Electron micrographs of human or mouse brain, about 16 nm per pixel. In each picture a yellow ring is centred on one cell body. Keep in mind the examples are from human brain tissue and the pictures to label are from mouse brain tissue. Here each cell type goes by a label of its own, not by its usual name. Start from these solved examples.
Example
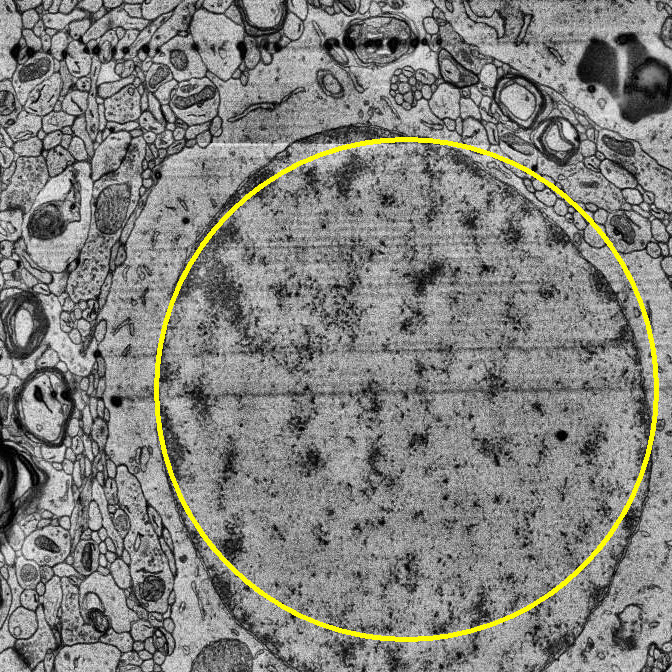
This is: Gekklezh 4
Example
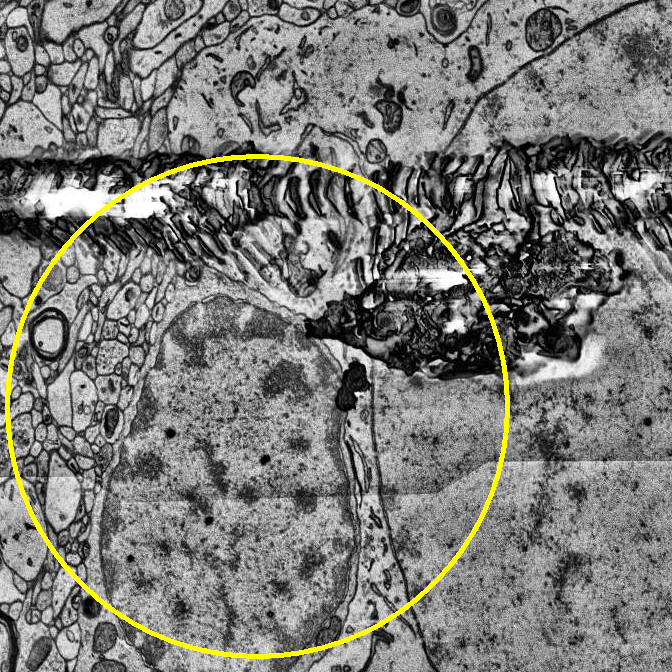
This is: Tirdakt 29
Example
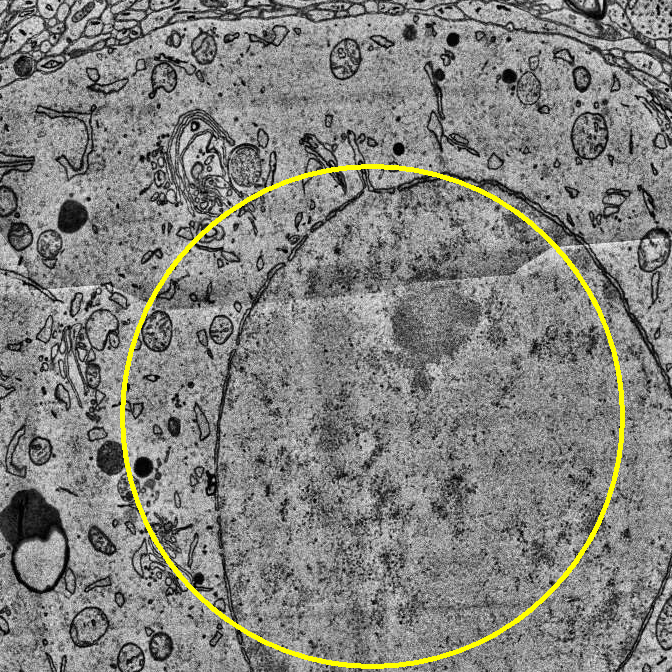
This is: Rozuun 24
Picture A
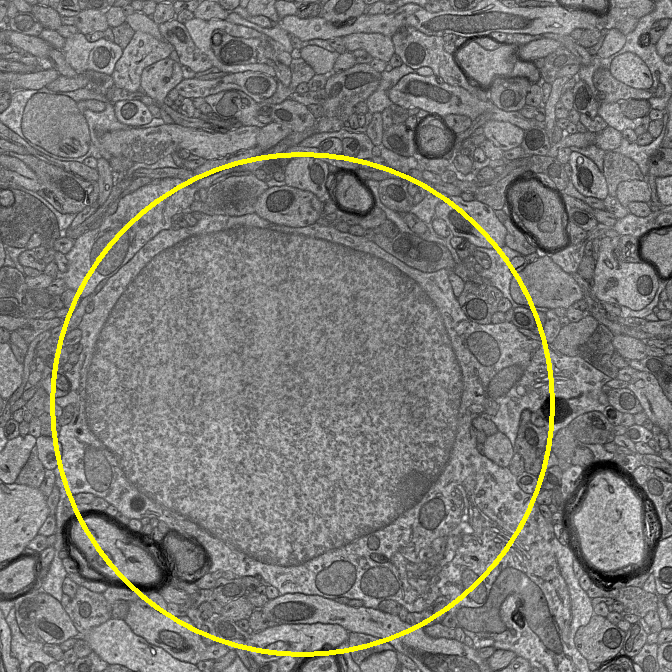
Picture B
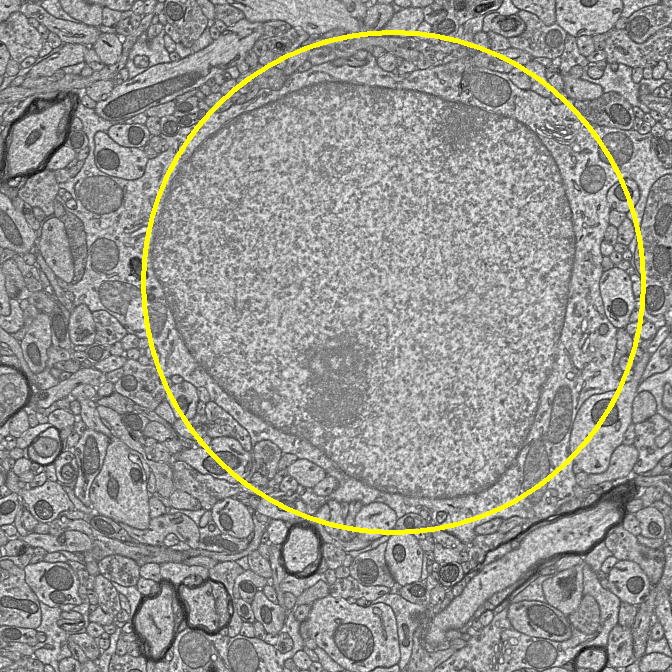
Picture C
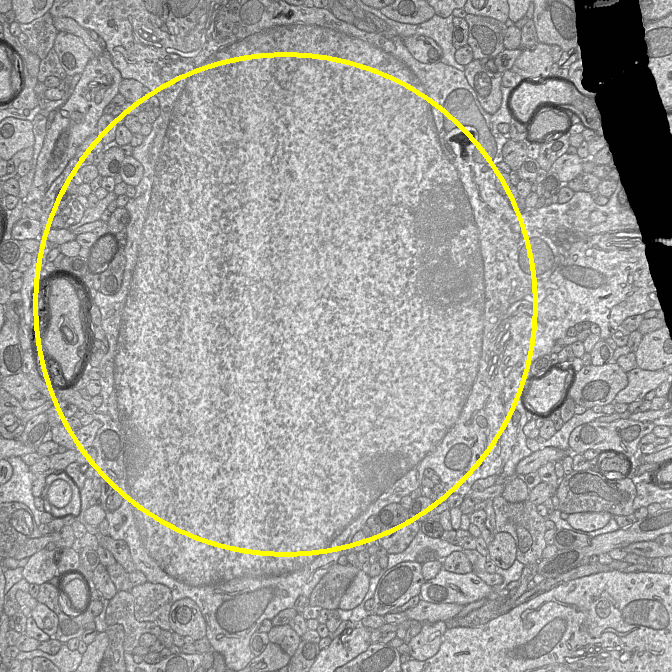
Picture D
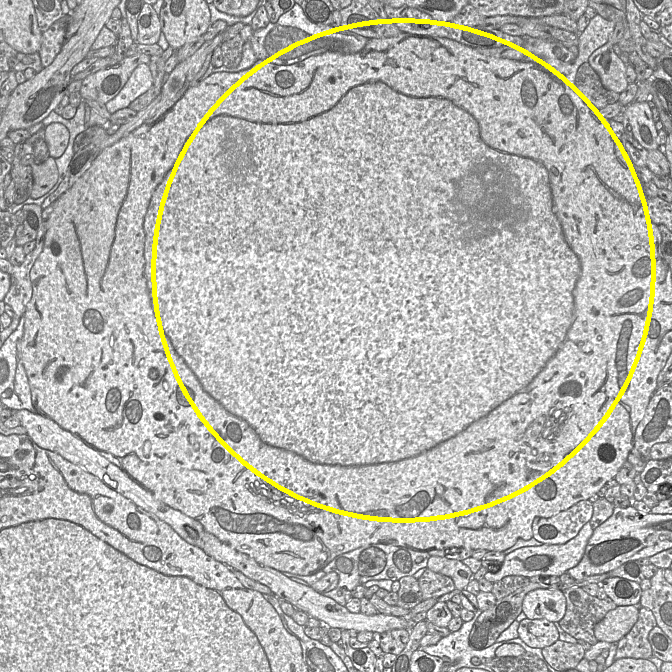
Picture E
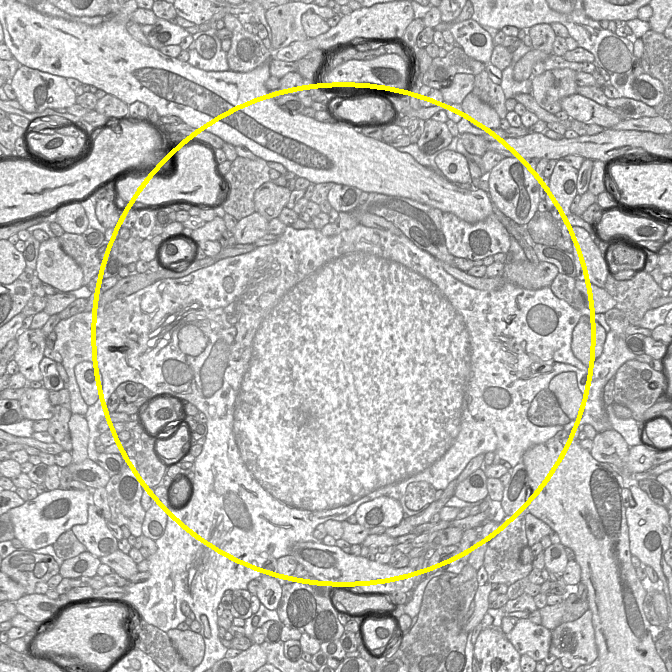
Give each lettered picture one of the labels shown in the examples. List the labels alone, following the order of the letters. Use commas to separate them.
Gekklezh 4, Gekklezh 4, Gekklezh 4, Rozuun 24, Gekklezh 4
